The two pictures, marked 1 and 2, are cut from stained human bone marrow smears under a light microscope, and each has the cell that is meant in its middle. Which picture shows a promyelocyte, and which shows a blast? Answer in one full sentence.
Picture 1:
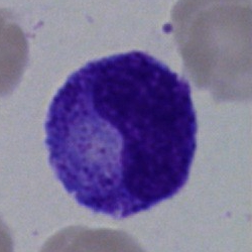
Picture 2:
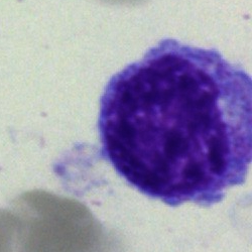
Picture 1 is of a promyelocyte, and picture 2 is of a blast.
